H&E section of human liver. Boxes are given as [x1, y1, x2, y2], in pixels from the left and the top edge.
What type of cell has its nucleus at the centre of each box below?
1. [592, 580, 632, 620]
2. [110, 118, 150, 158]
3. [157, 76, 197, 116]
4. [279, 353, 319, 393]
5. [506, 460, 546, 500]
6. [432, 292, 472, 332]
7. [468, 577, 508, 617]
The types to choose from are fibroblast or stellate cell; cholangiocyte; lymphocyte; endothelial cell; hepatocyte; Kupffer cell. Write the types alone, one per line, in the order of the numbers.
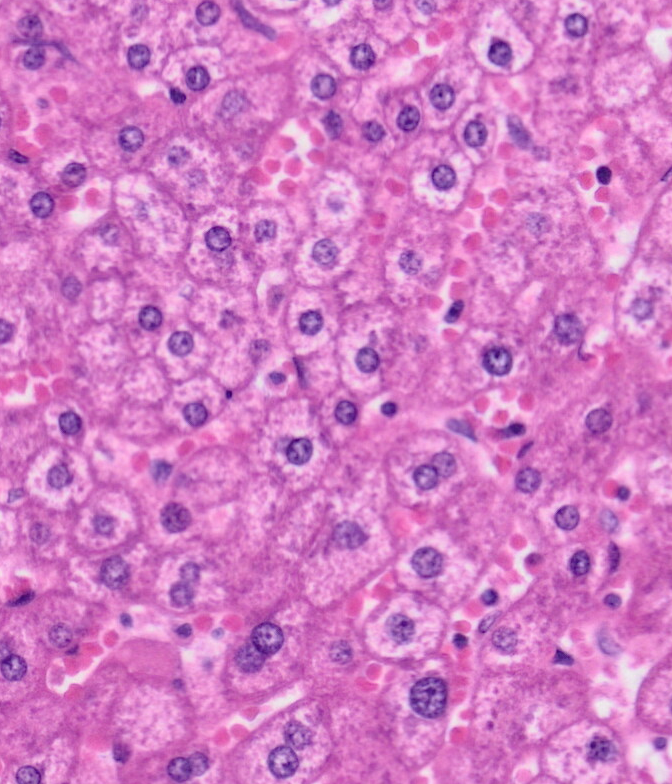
lymphocyte
hepatocyte
fibroblast or stellate cell
endothelial cell
hepatocyte
lymphocyte
lymphocyte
